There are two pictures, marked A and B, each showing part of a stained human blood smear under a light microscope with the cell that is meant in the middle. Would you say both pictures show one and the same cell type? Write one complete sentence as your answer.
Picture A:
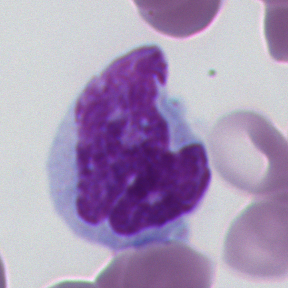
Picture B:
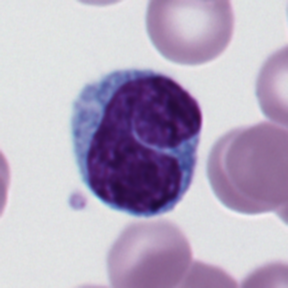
Yes, both cells are monocytes.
